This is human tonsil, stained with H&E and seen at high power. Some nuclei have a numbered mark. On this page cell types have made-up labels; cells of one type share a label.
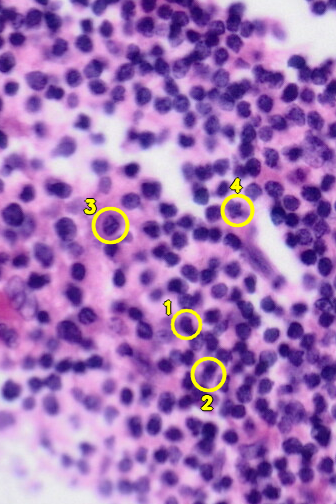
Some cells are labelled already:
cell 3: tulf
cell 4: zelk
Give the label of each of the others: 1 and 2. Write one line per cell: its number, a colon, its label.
1: zelk
2: zelk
